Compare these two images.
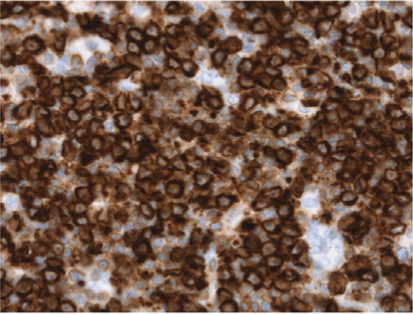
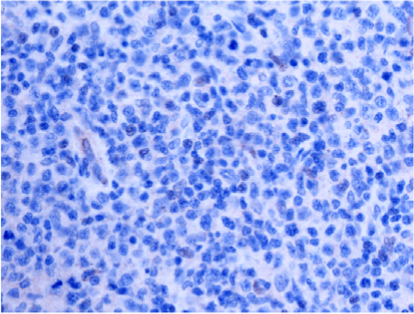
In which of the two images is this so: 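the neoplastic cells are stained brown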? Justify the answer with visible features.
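First image: dense dark brown stain around almost every cell. So: the first image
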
